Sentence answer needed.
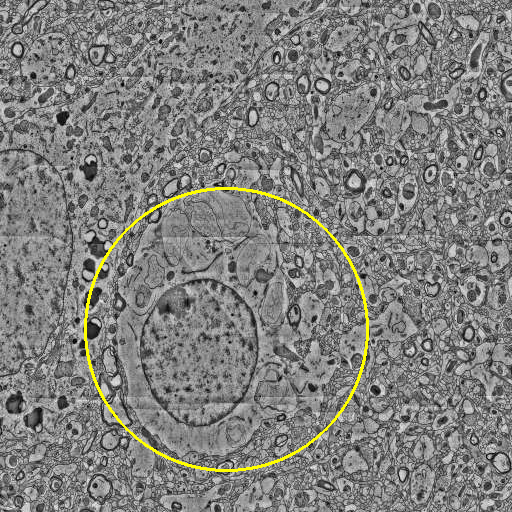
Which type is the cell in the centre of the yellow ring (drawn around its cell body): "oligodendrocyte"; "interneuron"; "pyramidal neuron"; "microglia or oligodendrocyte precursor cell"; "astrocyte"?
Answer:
In the centre of the yellow ring is an astrocyte.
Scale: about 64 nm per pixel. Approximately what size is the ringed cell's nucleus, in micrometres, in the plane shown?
Approximately 9 by 8 micrometers in this plane.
